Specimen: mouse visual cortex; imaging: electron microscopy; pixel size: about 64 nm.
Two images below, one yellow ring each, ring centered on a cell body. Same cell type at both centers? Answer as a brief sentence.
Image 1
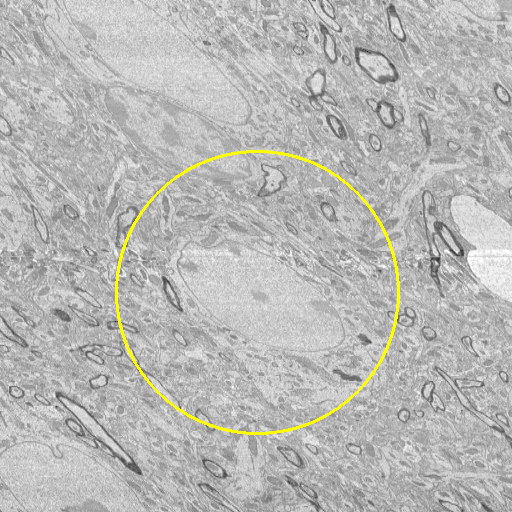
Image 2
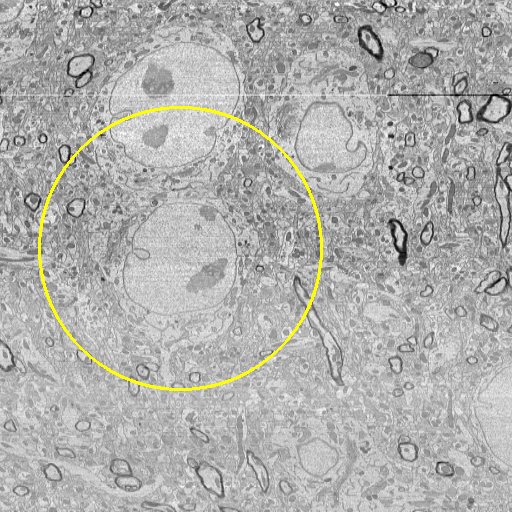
Yes, both cells are of the same type.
